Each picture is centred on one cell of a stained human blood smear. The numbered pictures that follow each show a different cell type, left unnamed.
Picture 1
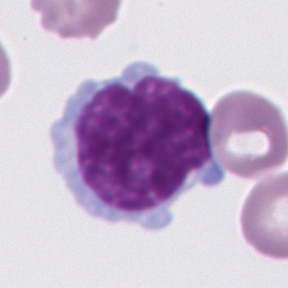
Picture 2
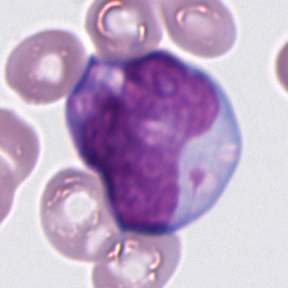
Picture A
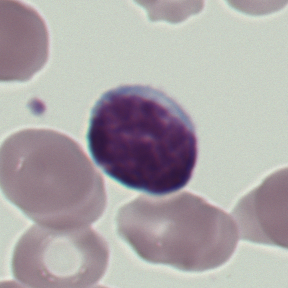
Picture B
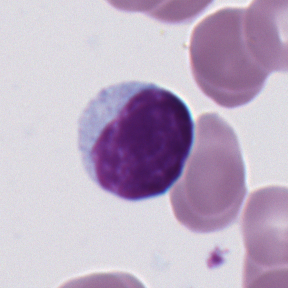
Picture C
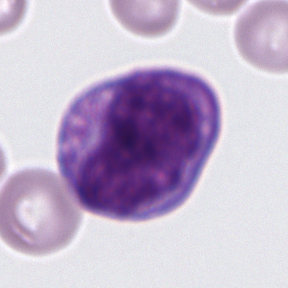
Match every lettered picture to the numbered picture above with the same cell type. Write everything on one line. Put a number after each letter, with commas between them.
A 1, B 1, C 2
